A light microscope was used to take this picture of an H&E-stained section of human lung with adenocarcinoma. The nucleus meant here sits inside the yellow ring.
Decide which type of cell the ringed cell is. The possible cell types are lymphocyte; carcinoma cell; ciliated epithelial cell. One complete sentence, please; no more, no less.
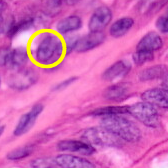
In terms of identity, the ringed cell is a ciliated epithelial cell.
